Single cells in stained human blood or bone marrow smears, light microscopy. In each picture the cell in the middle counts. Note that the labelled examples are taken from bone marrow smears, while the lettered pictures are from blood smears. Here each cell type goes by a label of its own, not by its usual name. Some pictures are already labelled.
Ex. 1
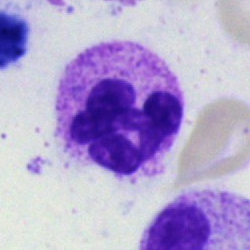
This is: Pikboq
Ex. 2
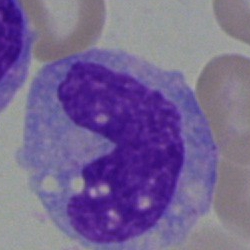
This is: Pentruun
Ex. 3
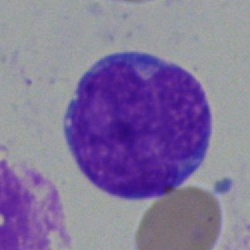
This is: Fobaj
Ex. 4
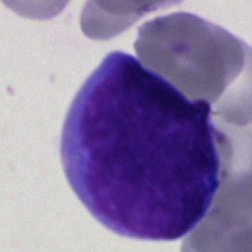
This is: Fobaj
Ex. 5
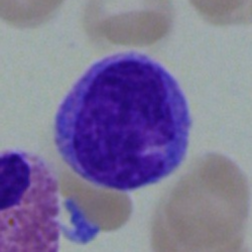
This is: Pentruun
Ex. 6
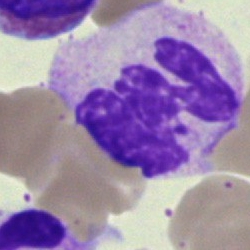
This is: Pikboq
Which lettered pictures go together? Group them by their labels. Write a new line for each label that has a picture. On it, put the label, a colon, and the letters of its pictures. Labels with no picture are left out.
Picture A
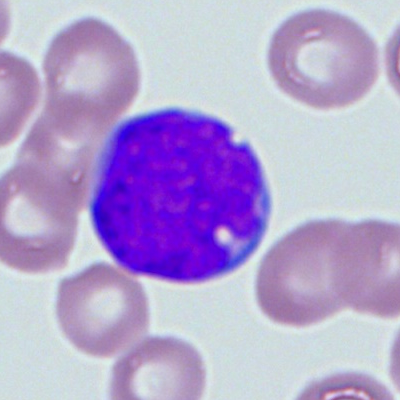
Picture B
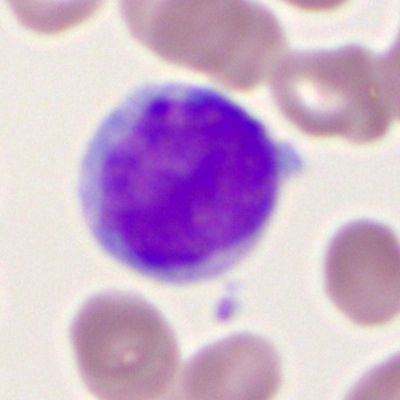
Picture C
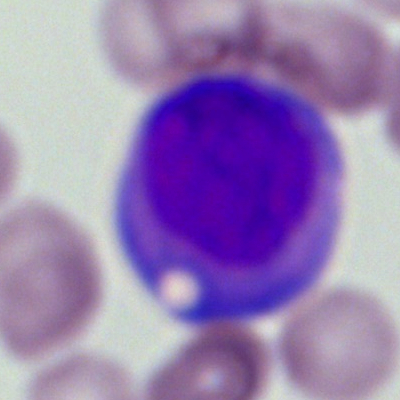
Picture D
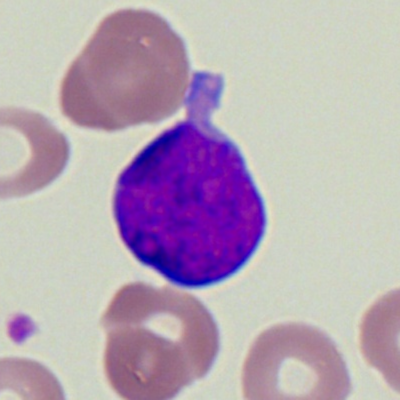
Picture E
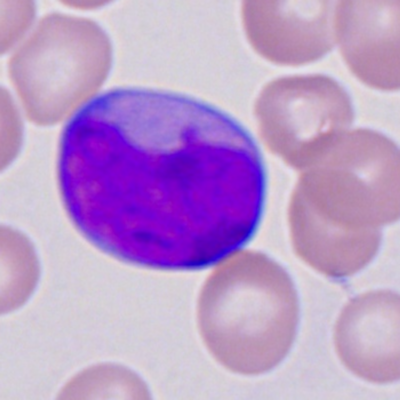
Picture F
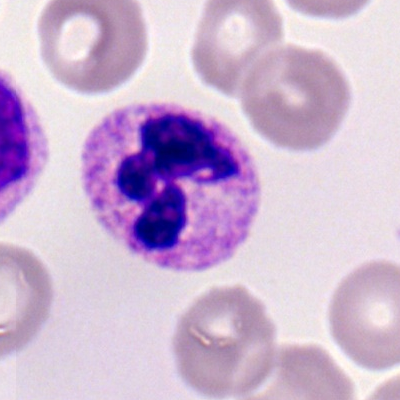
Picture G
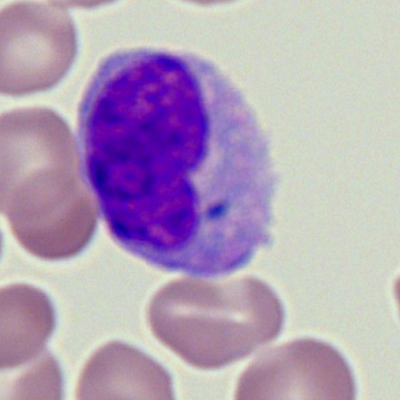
Pikboq: F
Pentruun: G
Fobaj: A, B, C, D, E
